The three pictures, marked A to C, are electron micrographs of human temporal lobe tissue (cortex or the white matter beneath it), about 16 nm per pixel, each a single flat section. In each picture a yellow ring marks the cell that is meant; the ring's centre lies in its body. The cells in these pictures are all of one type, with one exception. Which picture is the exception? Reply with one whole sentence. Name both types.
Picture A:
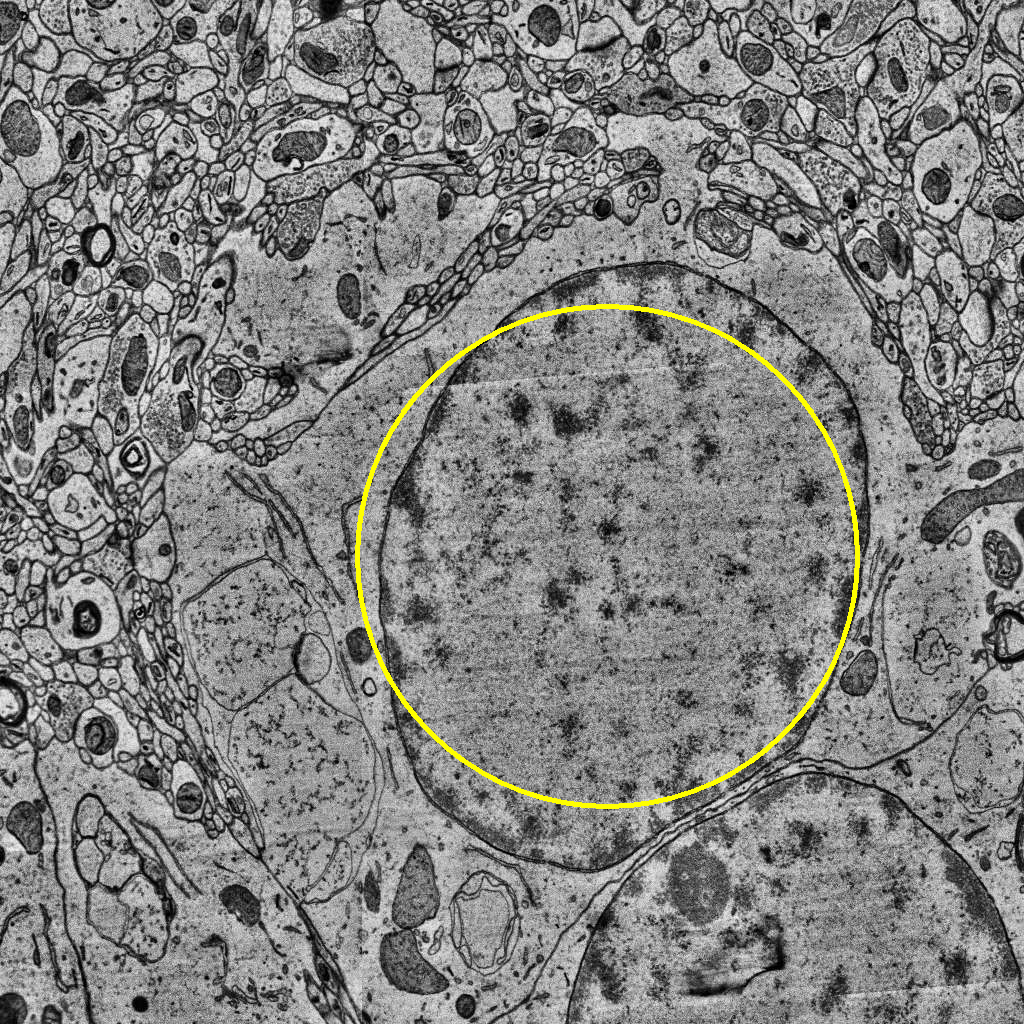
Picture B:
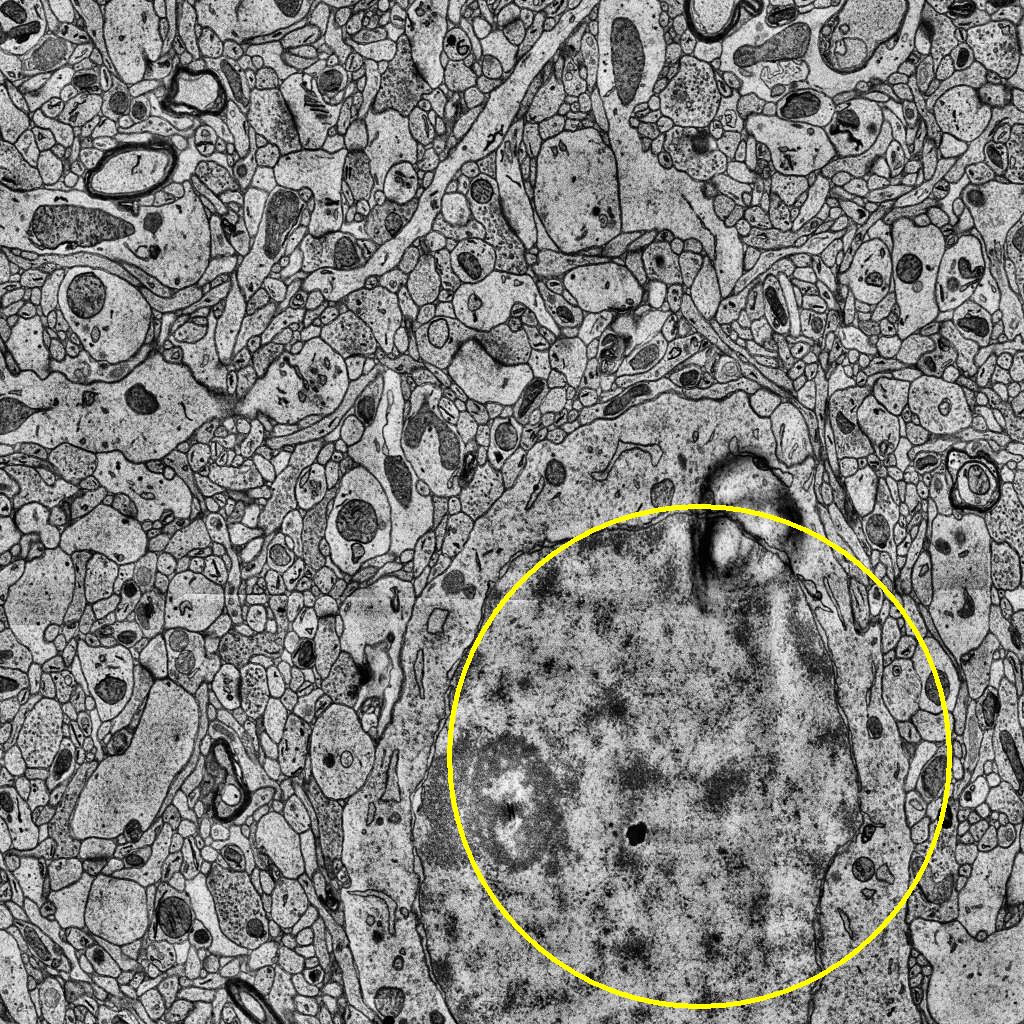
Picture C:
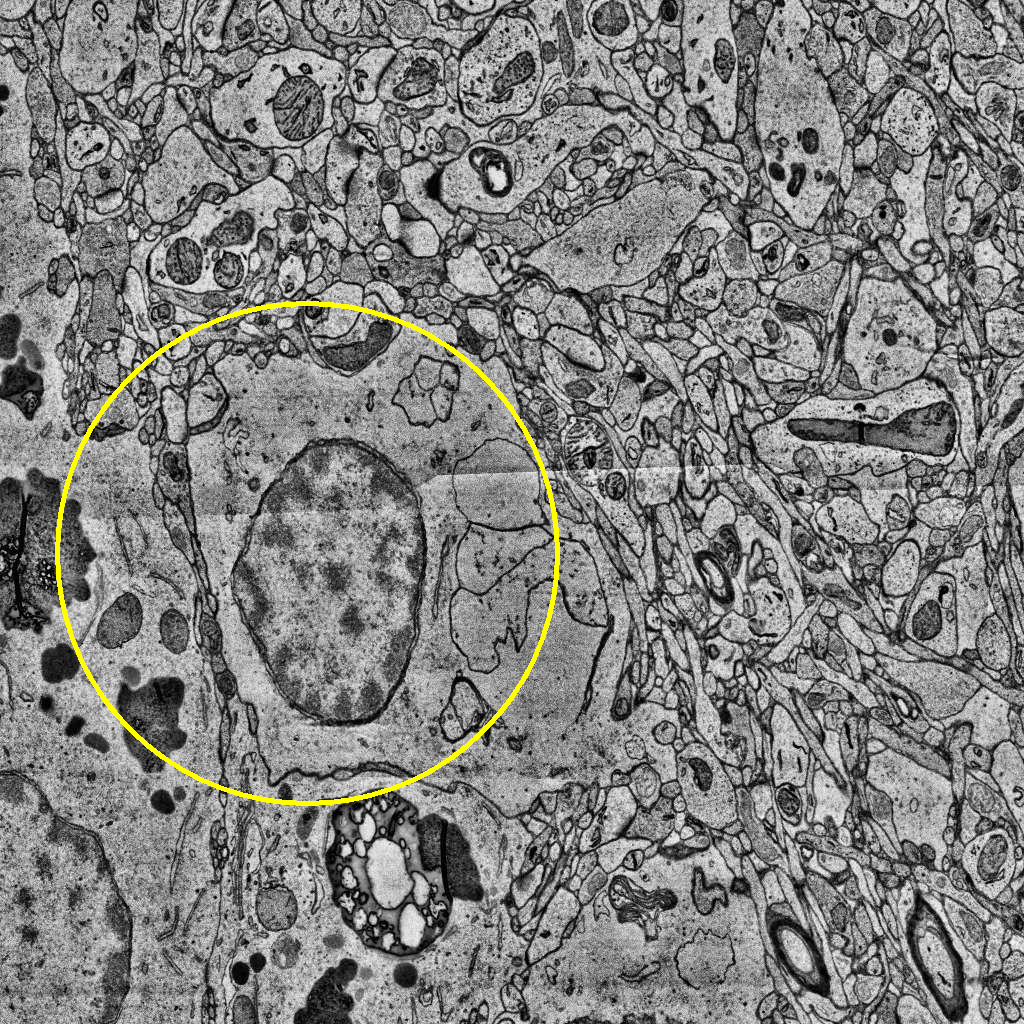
Unlike the rest, which show astrocytes, picture B shows an interneuron.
